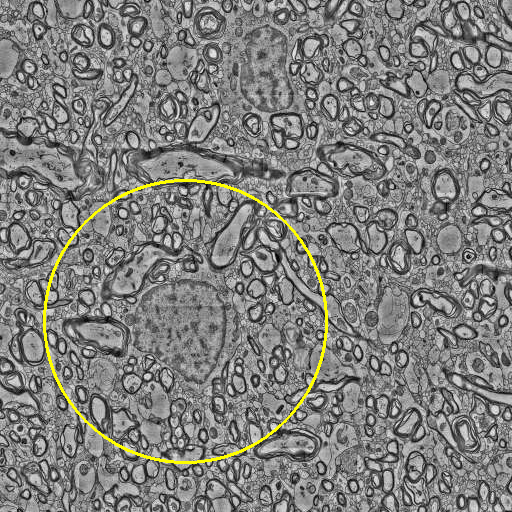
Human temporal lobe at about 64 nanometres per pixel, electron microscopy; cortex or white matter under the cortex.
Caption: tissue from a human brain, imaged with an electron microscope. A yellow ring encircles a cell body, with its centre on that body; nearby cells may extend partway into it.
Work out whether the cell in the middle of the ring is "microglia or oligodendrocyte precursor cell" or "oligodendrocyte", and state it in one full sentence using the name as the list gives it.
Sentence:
In the picture, the cell that the yellow ring surrounds at its centre is an oligodendrocyte.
